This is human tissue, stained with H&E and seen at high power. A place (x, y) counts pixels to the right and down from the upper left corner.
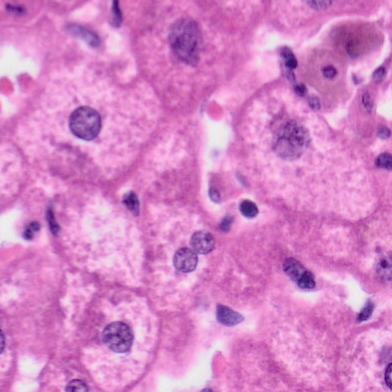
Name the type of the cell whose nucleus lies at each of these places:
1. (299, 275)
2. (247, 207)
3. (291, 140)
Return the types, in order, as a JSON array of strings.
["Kupffer cell", "lymphocyte", "hepatocyte"]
